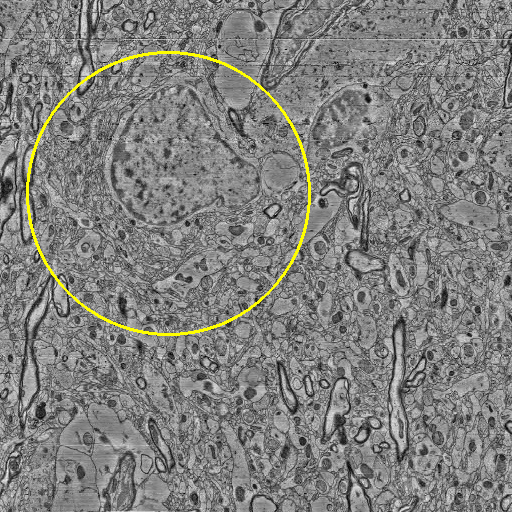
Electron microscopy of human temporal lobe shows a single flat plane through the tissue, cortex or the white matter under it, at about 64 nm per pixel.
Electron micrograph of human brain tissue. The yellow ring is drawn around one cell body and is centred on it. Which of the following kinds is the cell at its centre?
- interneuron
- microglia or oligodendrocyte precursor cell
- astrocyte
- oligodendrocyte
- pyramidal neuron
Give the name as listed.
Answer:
microglia or oligodendrocyte precursor cell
